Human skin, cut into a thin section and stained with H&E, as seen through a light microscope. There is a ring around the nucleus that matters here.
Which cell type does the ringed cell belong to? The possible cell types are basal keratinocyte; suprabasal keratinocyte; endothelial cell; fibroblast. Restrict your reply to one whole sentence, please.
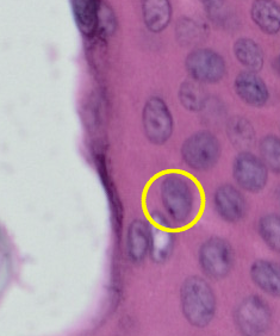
In the stained section, the ringed cell is a suprabasal keratinocyte.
